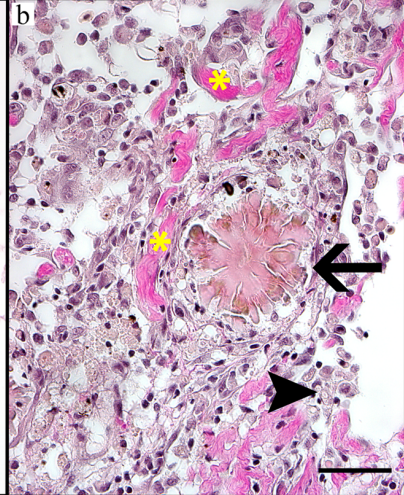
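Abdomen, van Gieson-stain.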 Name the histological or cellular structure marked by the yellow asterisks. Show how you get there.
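The marked material forms bright red-pink wavy bands. The bands lie between the cells of the lesion. So: collagen deposits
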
